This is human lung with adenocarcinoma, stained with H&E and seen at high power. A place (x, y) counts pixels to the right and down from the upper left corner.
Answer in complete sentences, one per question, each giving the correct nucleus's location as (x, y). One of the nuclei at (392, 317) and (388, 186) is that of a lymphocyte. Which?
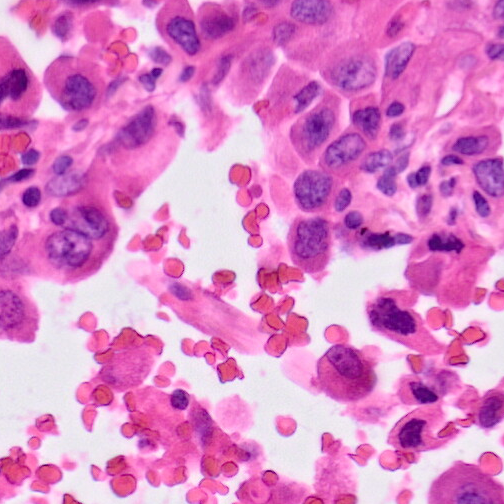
Of these two nuclei, only the one at (388, 186) belongs to a lymphocyte.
